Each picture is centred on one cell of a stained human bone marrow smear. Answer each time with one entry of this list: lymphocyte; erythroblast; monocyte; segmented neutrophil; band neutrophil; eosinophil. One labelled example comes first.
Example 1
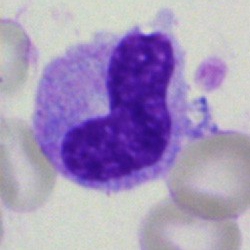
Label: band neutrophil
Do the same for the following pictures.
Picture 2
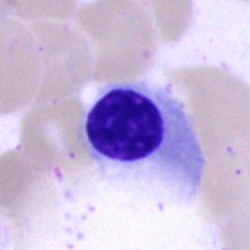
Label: erythroblast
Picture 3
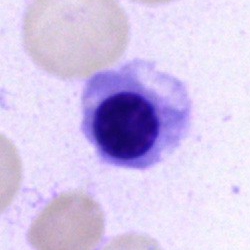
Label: erythroblast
